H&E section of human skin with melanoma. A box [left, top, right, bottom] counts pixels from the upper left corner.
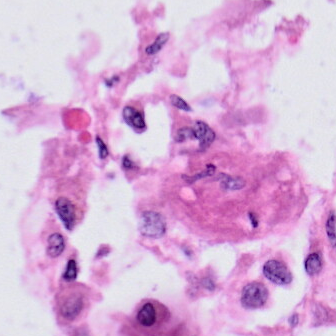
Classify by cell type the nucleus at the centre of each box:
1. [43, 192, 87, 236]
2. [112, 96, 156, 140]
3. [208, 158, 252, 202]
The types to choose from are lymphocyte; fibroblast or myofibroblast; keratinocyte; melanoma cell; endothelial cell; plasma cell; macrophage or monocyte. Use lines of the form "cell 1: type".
cell 1: macrophage or monocyte
cell 2: macrophage or monocyte
cell 3: endothelial cell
